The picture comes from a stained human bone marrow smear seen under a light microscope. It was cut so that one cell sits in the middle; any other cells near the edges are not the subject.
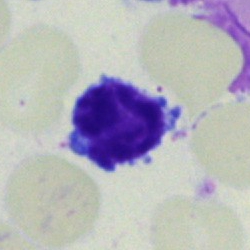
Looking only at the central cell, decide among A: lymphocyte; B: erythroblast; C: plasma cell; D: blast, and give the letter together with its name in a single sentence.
The cell in the middle is a lymphocyte, and that makes option A correct.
